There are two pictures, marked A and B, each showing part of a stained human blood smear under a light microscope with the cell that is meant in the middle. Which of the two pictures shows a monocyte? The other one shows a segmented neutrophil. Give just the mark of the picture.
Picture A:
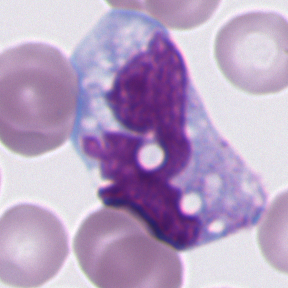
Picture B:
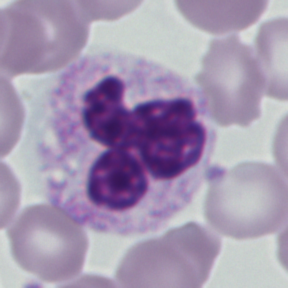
A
